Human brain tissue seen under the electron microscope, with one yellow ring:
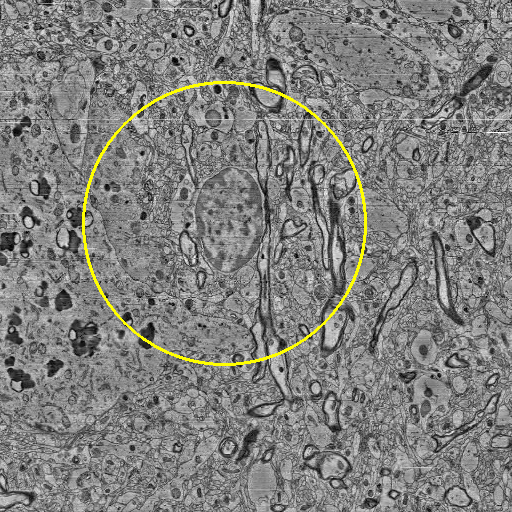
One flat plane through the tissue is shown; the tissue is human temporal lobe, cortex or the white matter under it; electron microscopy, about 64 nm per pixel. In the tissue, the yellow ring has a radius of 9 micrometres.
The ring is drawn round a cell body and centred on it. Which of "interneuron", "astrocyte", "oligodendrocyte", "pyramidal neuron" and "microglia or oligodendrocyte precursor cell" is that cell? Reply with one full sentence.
The picture shows a microglial cell or oligodendrocyte precursor cell at the very centre of the yellow ring.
